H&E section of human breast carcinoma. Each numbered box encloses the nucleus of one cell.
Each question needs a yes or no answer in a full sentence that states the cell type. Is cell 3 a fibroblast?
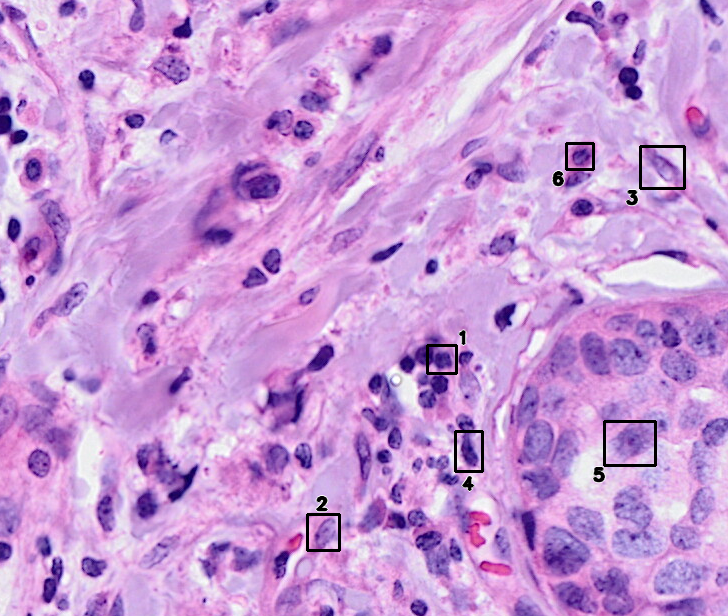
Yes, regarding cell number 3, it is a fibroblast.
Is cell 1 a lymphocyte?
Yes, regarding cell number 1, it is a lymphocyte.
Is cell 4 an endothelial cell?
No, cell number 4 is identified as a lymphocyte, not as an endothelial cell.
